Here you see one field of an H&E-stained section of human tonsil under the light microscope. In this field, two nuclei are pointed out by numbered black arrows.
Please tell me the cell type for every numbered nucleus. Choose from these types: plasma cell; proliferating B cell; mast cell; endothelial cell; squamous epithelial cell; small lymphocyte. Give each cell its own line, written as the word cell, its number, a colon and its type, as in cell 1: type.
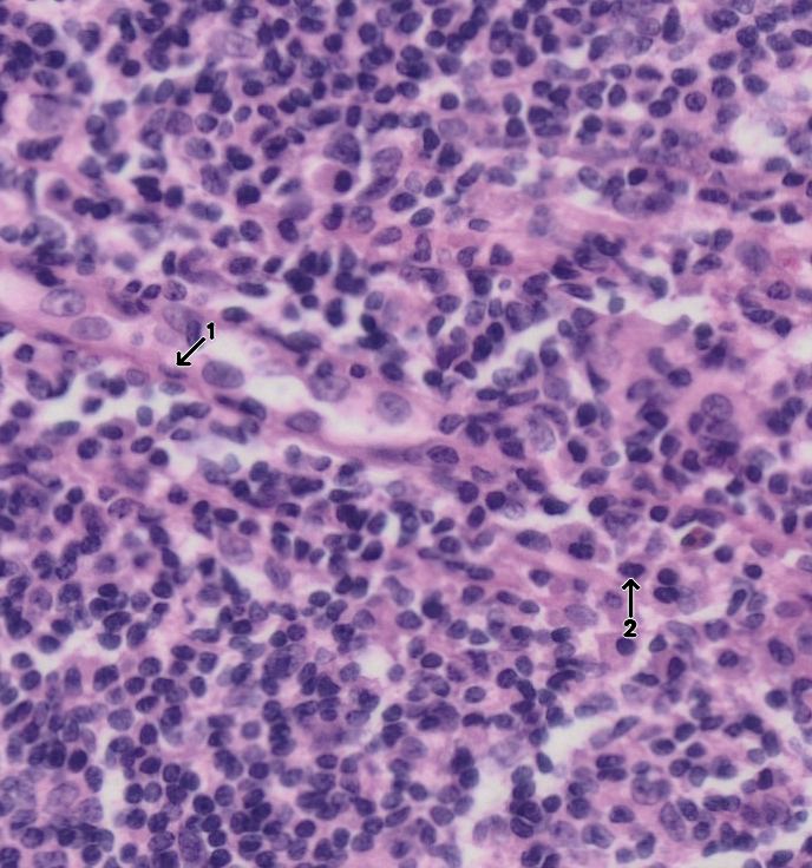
cell 1: endothelial cell
cell 2: plasma cell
